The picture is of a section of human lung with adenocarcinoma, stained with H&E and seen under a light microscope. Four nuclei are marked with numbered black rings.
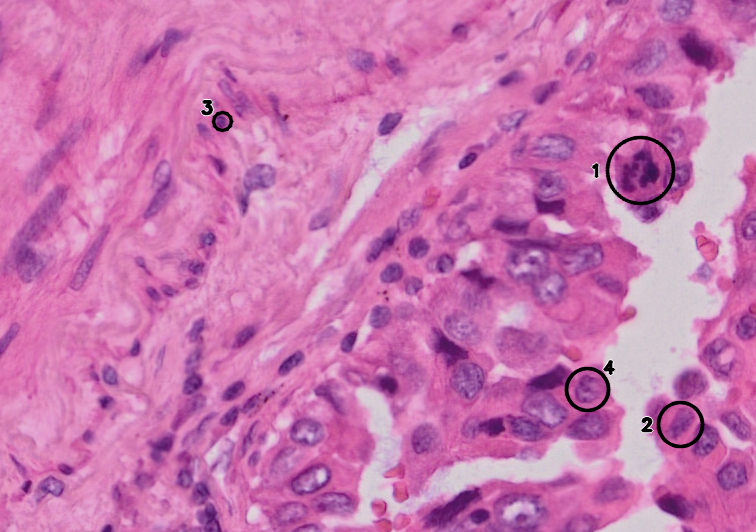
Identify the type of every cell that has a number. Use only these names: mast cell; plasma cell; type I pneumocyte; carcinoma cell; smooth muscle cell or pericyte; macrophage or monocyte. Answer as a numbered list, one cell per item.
1. carcinoma cell
2. carcinoma cell
3. smooth muscle cell or pericyte
4. carcinoma cell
